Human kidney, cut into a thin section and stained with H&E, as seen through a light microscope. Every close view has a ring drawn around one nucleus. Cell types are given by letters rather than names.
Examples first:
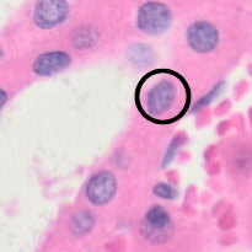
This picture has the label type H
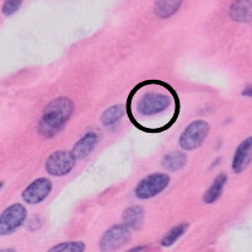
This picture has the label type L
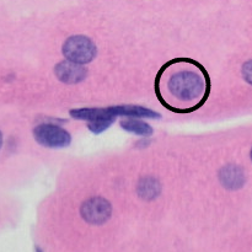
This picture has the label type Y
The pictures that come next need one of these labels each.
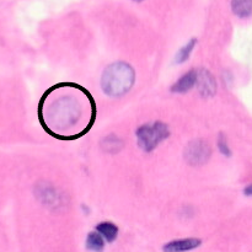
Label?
type Y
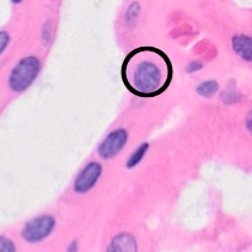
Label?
type L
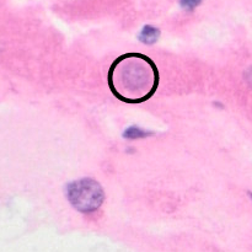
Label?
type Y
